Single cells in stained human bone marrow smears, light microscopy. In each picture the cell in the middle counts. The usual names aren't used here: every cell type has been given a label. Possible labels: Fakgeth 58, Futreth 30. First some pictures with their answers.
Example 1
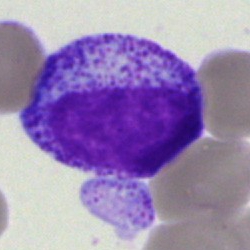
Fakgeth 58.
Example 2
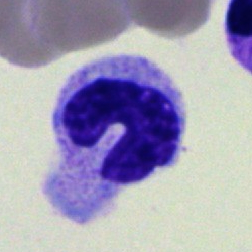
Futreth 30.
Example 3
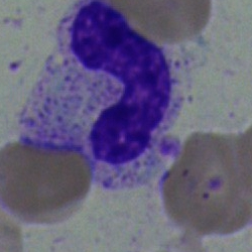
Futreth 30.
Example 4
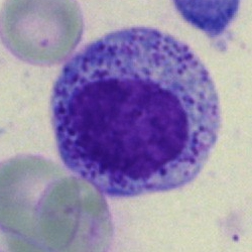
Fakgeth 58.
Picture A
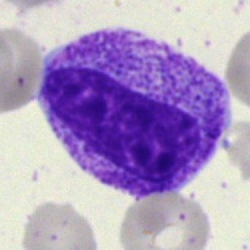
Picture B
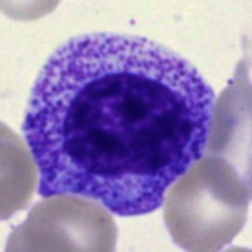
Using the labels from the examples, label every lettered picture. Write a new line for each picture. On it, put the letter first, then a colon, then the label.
A: Fakgeth 58.
B: Fakgeth 58.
